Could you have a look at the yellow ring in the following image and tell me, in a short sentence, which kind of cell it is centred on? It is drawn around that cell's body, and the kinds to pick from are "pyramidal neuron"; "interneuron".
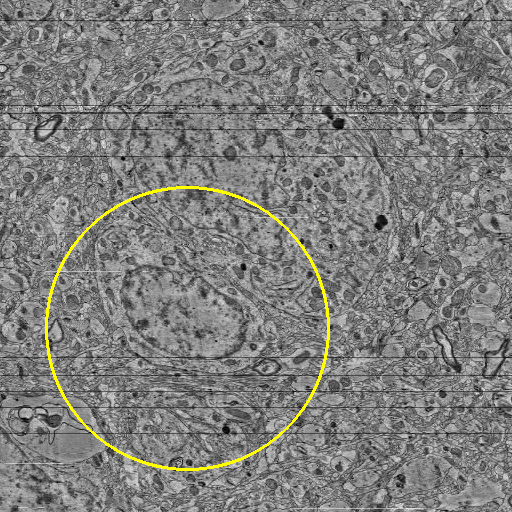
The ring is centred on the body of an interneuron.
